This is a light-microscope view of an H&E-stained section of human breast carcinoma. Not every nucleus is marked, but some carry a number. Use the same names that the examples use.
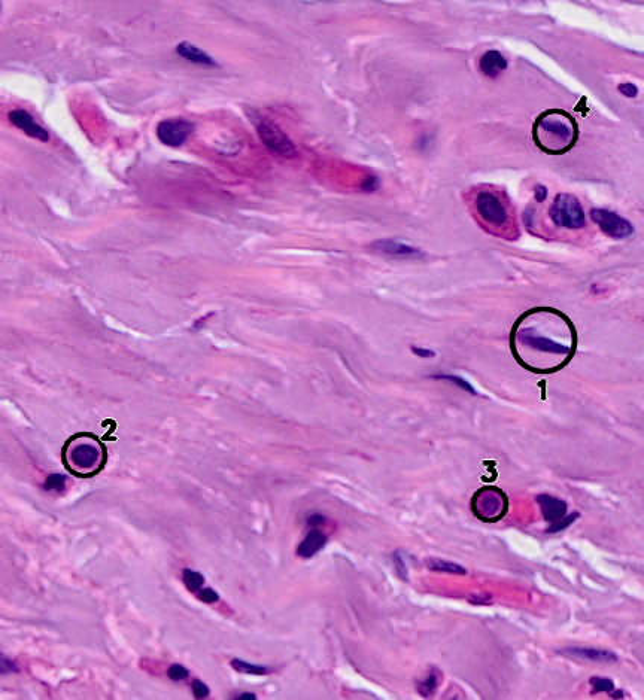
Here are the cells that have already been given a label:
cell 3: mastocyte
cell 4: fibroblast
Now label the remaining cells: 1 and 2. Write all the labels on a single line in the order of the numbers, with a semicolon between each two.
fibroblast; mastocyte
